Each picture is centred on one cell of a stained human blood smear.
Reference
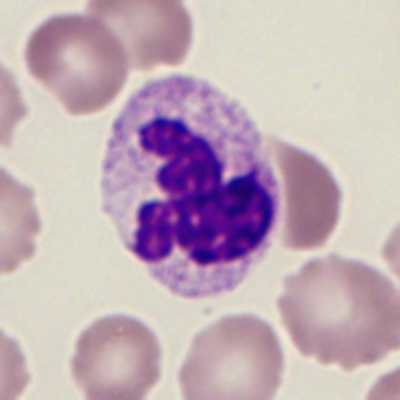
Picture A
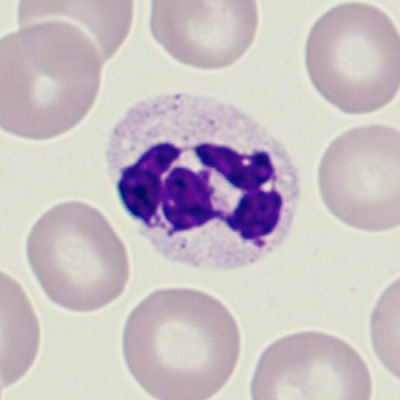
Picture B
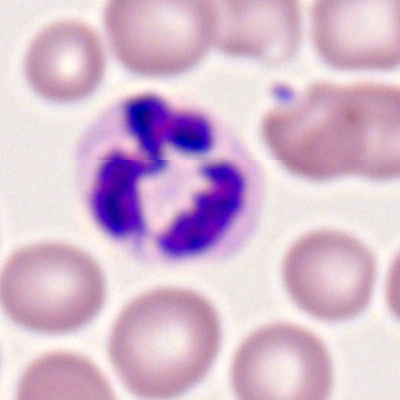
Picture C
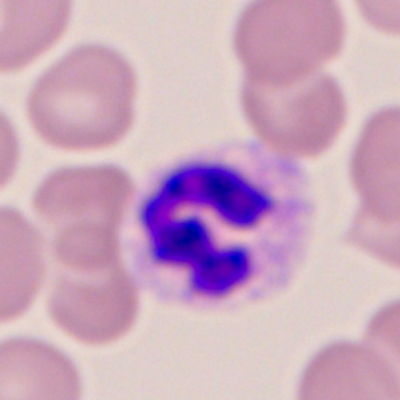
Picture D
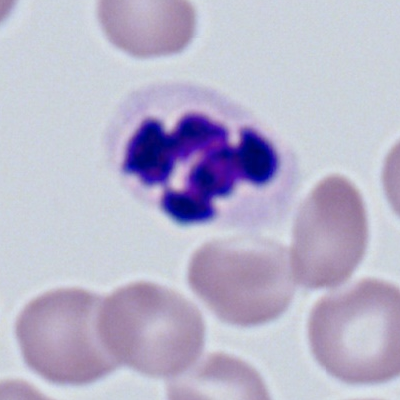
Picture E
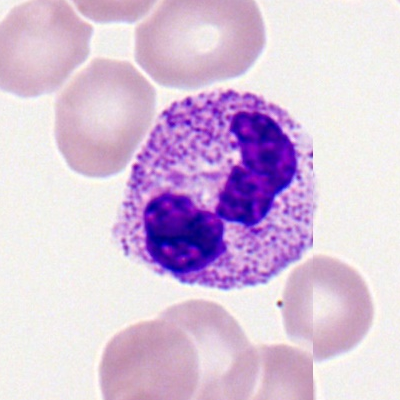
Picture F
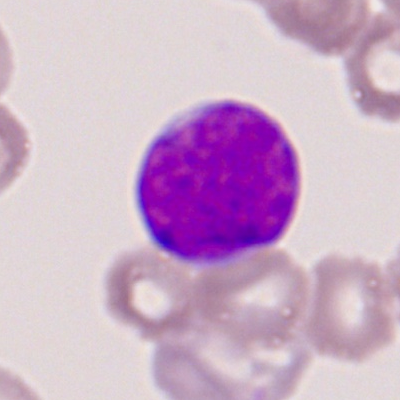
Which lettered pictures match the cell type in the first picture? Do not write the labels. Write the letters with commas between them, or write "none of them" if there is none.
A, B, C, D, E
